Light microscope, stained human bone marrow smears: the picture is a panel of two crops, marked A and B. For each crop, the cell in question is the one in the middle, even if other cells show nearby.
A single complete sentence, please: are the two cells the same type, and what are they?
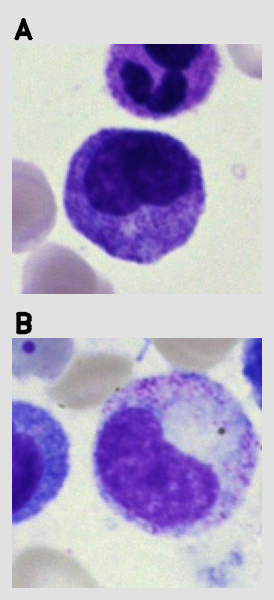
Yes, in both of the crops, the central cells are metamyelocytes.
